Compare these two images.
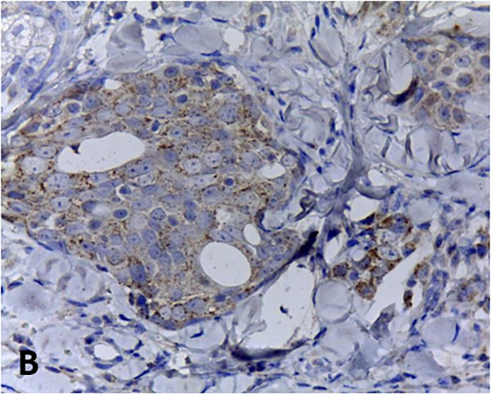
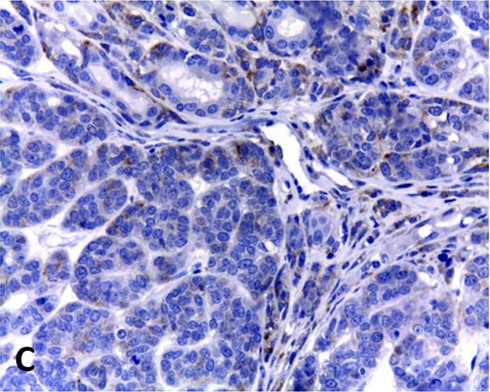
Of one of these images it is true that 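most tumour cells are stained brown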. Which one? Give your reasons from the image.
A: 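The first image. Second image: the tumour nests are mostly blue with only scattered faint brown. First image: brown stain spreads through most cells of the nest.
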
